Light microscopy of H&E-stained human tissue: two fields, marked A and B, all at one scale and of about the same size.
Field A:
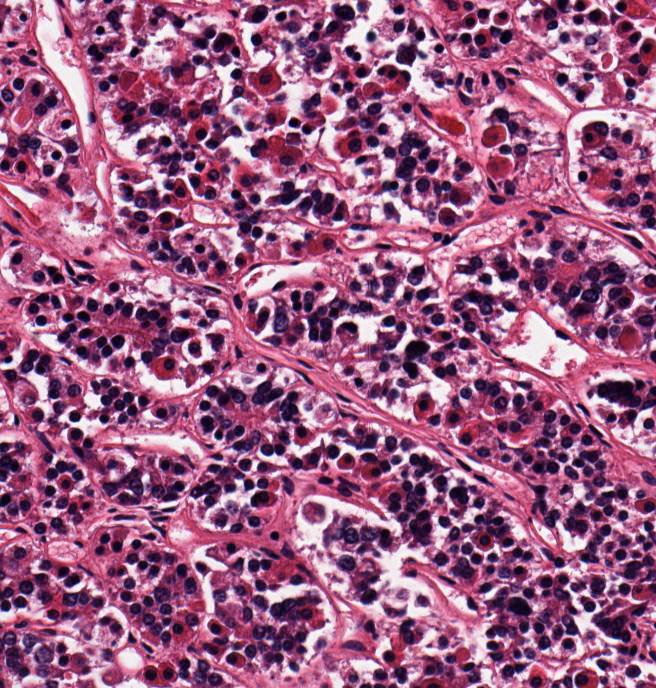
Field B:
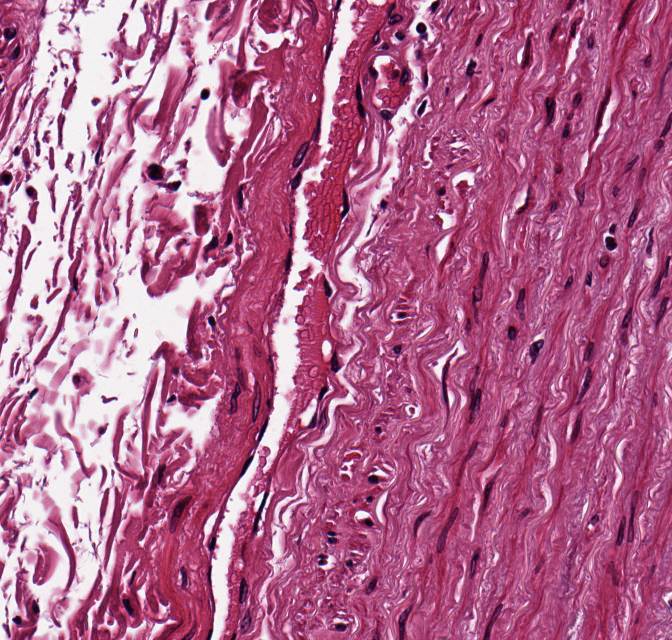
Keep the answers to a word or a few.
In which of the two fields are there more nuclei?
A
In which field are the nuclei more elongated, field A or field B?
B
